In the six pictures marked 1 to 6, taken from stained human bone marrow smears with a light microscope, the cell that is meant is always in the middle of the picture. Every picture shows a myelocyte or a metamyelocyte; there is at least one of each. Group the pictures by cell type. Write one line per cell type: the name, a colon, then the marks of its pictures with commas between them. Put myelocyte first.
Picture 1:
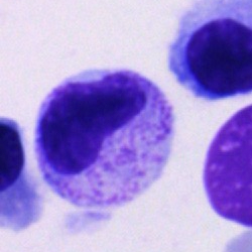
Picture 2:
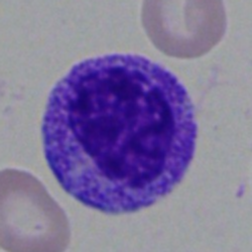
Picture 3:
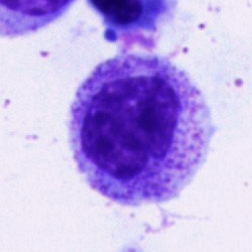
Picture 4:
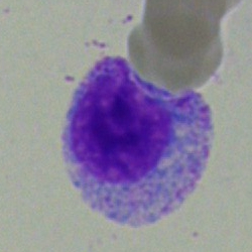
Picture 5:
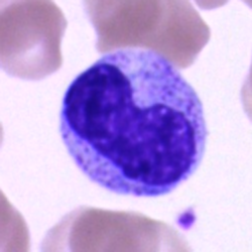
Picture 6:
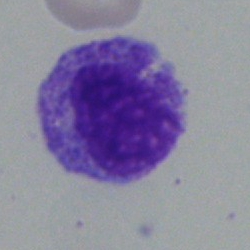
myelocyte: 2, 3, 4, 6
metamyelocyte: 1, 5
